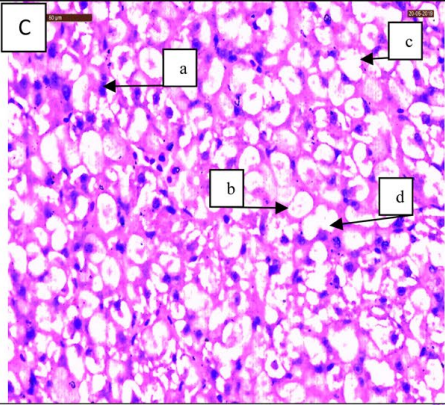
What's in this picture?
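Liver tissue in which most hepatocytes contain large, round, clear vacuoles that give the section a honeycomb-like appearance. The pink cytoplasm is reduced to thin strands between the empty spaces, and many dark-blue nuclei lie squeezed at the margins of the vacuoles. Some nuclei are small and densely stained. The normal cord arrangement of the cells is hard to make out.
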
